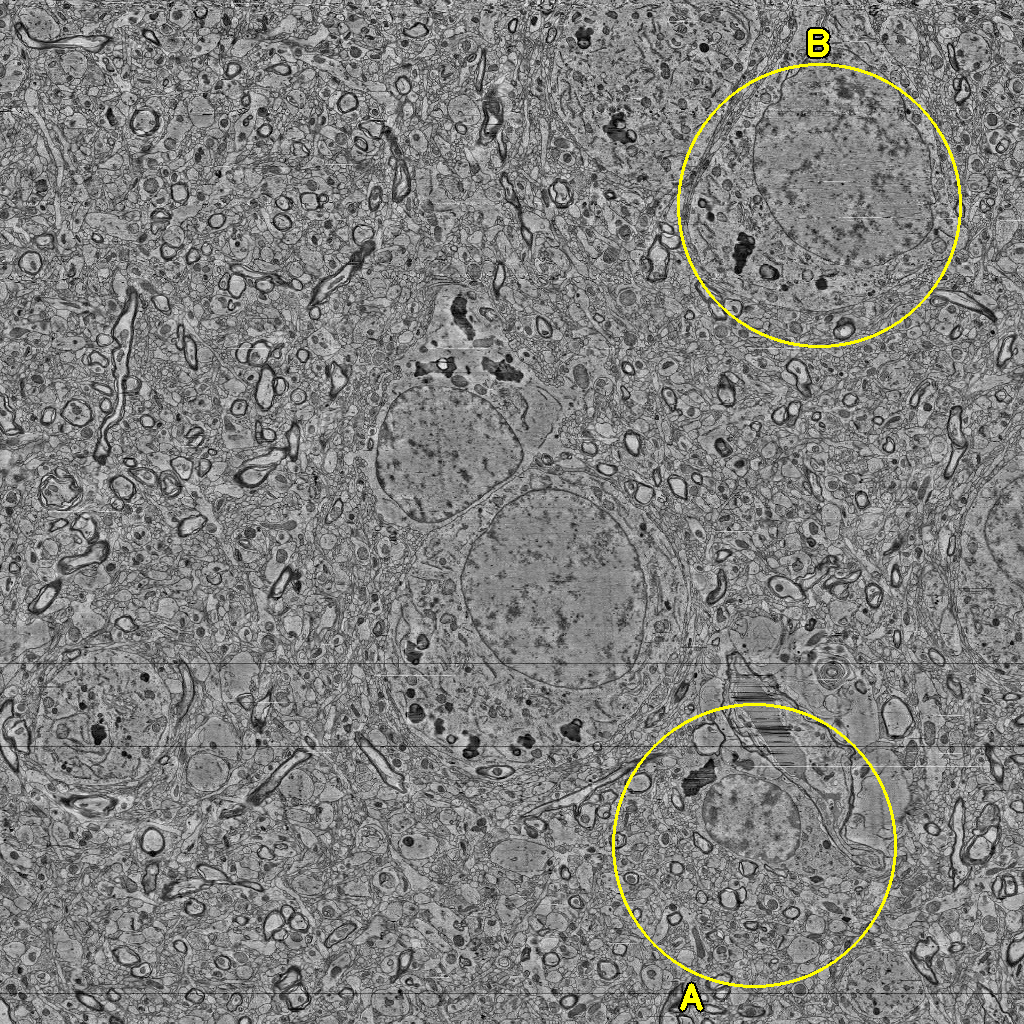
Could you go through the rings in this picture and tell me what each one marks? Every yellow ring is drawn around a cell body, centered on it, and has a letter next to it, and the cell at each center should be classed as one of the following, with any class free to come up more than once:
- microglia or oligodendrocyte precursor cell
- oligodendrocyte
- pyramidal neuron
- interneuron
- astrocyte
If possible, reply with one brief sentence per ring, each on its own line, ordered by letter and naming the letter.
The cell centered in ring A is an oligodendrocyte.
The cell centered in ring B is a pyramidal neuron.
